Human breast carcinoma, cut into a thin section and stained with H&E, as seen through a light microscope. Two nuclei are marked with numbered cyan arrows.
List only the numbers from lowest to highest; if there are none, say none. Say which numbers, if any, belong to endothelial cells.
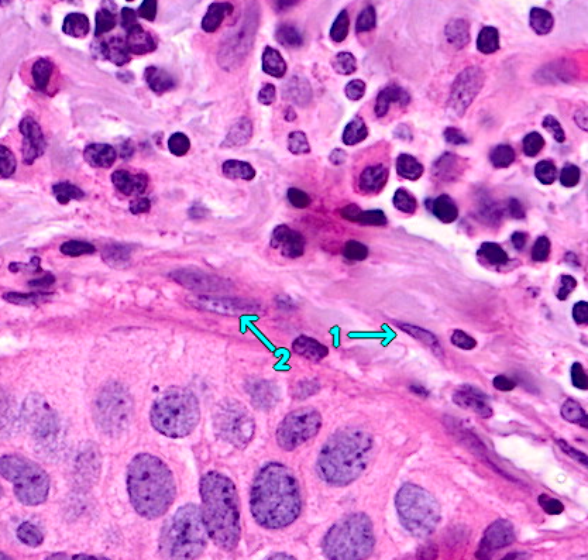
2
